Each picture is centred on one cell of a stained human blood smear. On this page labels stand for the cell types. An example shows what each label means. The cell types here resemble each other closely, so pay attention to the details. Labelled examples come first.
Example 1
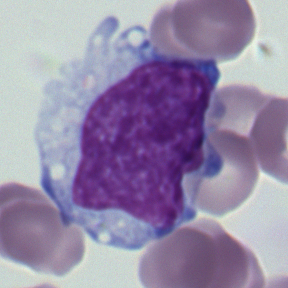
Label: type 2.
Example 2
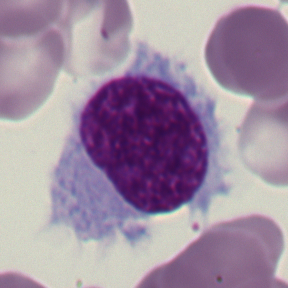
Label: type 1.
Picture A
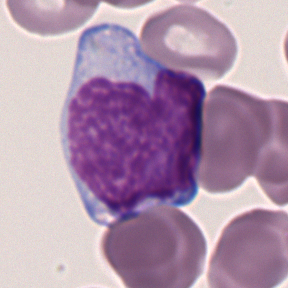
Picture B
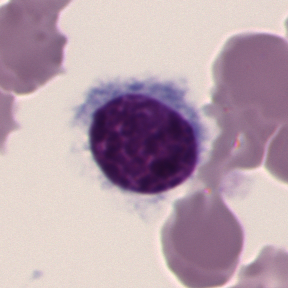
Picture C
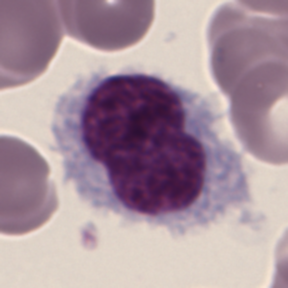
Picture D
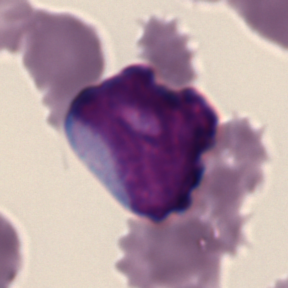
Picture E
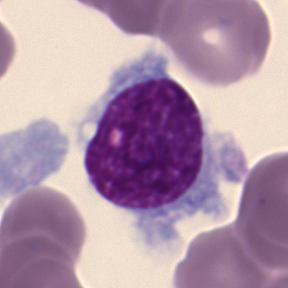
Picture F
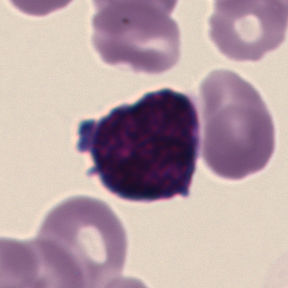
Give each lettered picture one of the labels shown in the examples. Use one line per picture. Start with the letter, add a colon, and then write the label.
A: type 2.
B: type 1.
C: type 1.
D: type 2.
E: type 1.
F: type 2.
